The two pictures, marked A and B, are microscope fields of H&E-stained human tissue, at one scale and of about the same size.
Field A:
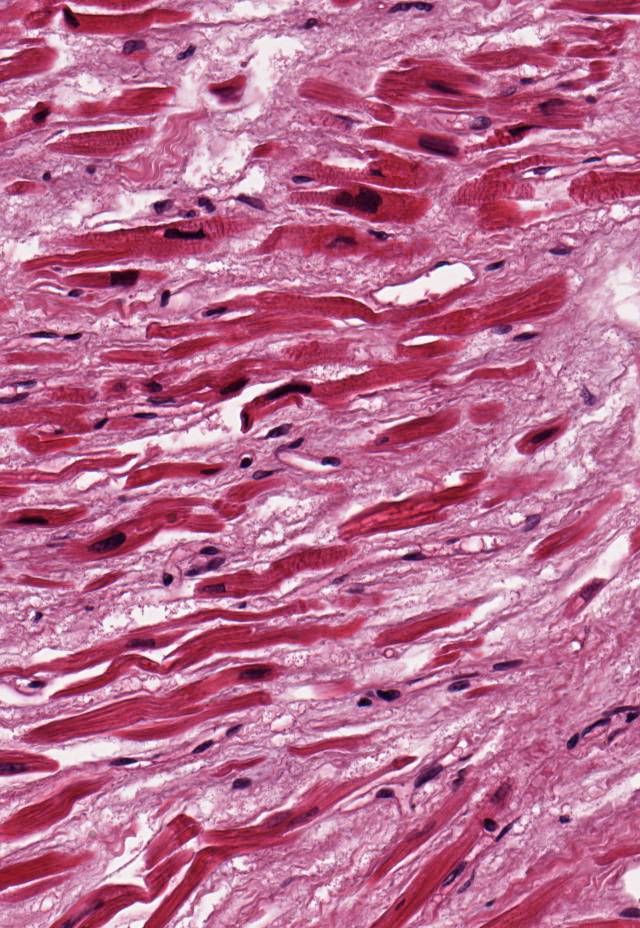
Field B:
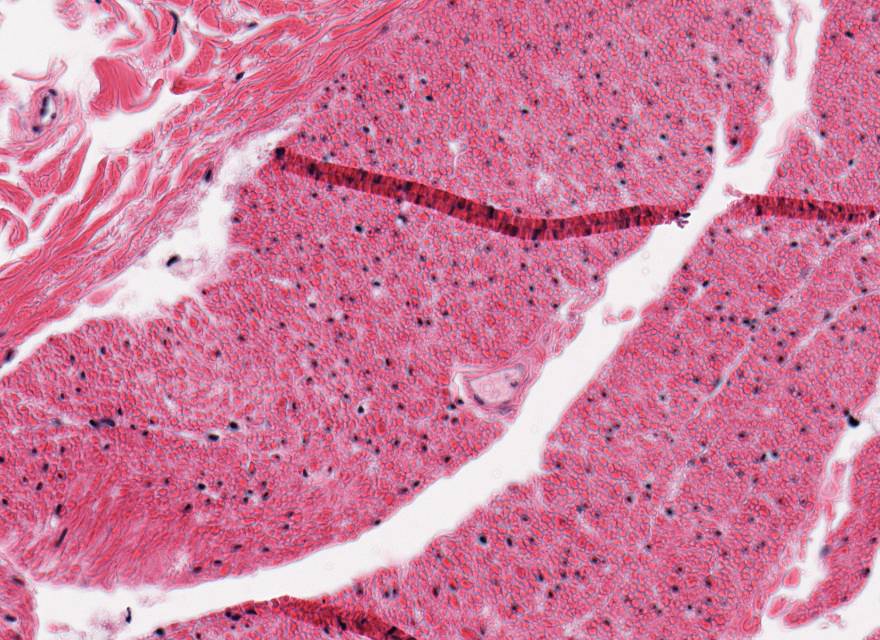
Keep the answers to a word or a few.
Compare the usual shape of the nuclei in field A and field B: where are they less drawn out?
B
